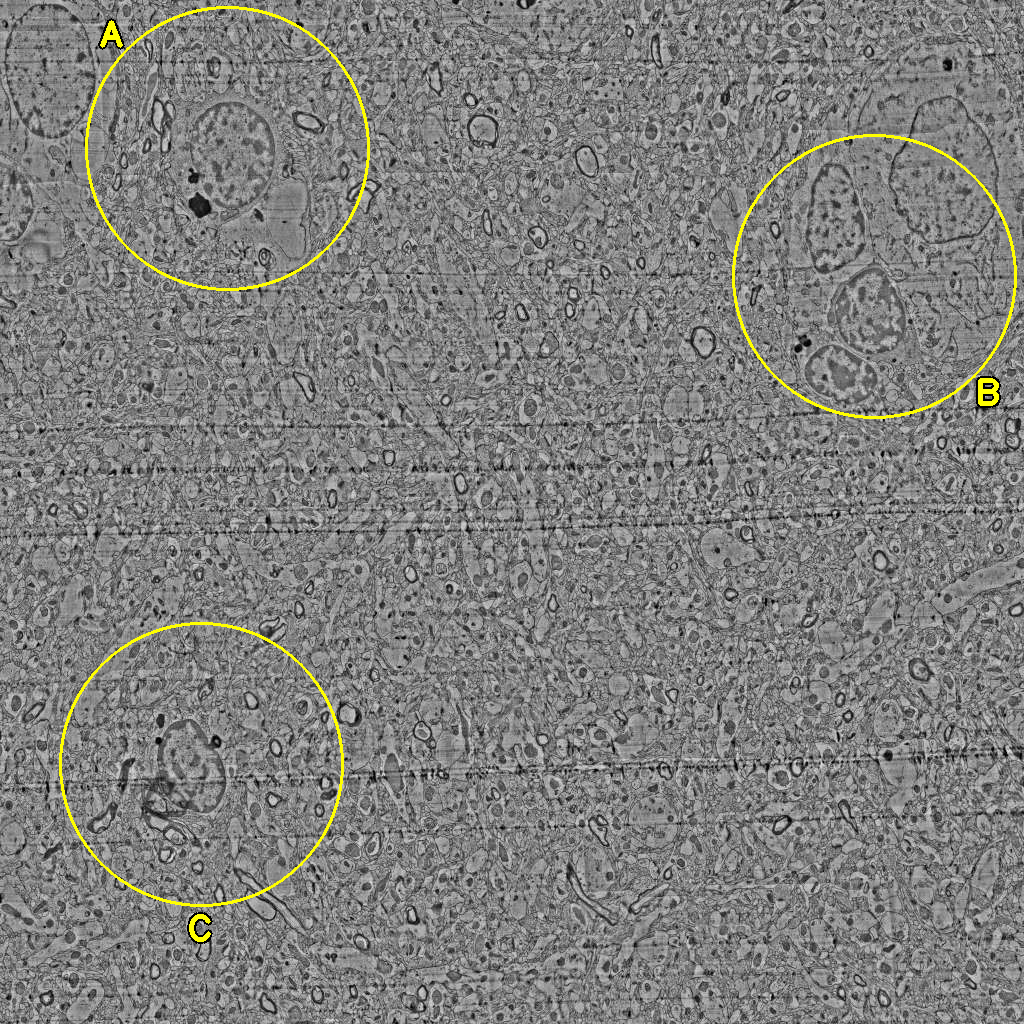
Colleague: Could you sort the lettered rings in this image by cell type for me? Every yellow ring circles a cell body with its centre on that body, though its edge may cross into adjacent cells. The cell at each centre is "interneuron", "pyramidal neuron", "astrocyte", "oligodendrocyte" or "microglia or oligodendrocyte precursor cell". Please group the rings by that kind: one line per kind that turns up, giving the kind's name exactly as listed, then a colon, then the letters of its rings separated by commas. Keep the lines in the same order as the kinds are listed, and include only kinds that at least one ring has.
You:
oligodendrocyte: A, B
microglia or oligodendrocyte precursor cell: C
